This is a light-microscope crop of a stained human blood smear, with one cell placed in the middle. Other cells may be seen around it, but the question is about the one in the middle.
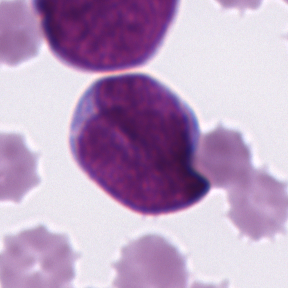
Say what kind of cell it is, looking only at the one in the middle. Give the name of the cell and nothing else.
blast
